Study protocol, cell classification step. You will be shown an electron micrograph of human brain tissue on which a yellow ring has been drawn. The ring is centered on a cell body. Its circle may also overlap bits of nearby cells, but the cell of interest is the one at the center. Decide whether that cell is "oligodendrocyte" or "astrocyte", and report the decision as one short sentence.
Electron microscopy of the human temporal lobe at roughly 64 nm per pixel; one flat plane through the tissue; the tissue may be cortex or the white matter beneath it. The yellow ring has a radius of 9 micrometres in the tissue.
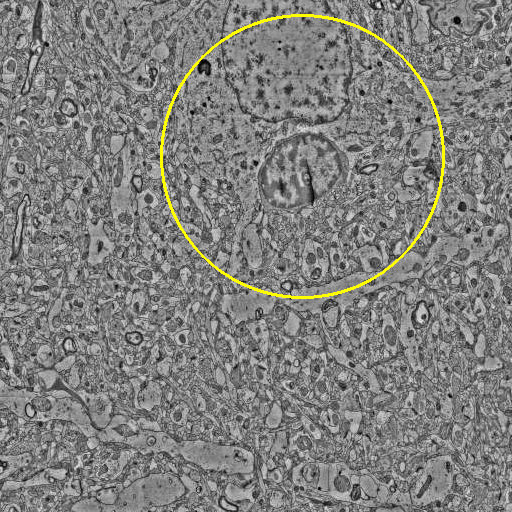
The marked cell is an oligodendrocyte.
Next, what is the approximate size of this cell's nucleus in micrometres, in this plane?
Approximately 5 by 4 micrometers in this plane.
